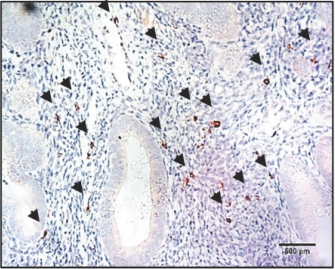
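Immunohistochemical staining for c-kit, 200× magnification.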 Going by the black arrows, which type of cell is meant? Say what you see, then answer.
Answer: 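The arrows point to small, scattered cells with brown-stained cytoplasm. The brown cells lie singly in the stroma between glands. Surrounding stromal nuclei are blue and unstained.
Mast cells.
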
